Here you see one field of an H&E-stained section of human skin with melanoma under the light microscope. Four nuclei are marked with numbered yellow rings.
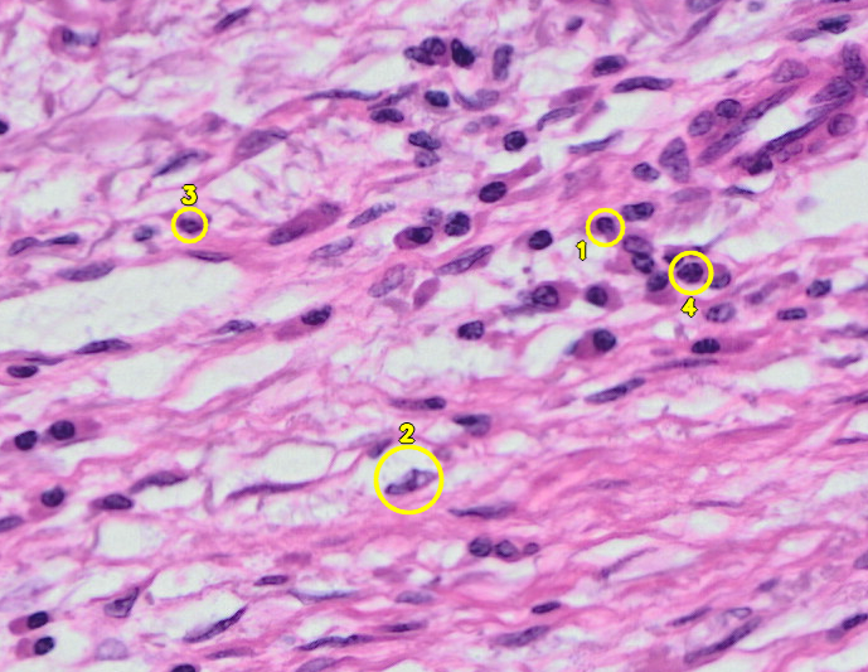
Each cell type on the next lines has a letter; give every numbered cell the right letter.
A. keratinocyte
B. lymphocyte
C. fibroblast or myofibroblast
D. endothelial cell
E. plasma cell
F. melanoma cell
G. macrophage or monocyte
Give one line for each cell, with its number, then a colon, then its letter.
1: E
2: C
3: E
4: E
